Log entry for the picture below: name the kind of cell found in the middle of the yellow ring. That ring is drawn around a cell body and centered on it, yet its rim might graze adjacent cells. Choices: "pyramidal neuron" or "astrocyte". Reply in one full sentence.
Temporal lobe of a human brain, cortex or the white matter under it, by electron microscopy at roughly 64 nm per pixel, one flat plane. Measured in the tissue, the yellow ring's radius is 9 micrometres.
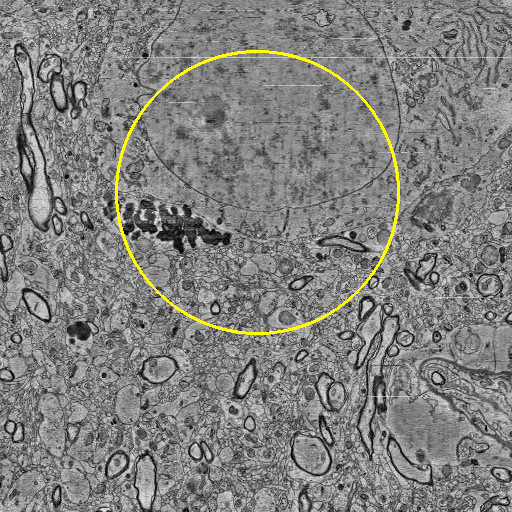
The cell in the middle of the yellow ring in this picture is a pyramidal neuron.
